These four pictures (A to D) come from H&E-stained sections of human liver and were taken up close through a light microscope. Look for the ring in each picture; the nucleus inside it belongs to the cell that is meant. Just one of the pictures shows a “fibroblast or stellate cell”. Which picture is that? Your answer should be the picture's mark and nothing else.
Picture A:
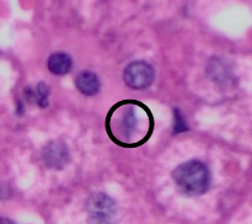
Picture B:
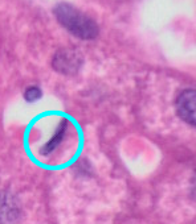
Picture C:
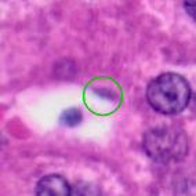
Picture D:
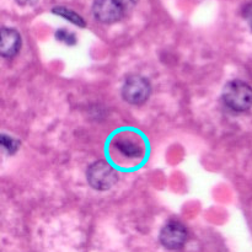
D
